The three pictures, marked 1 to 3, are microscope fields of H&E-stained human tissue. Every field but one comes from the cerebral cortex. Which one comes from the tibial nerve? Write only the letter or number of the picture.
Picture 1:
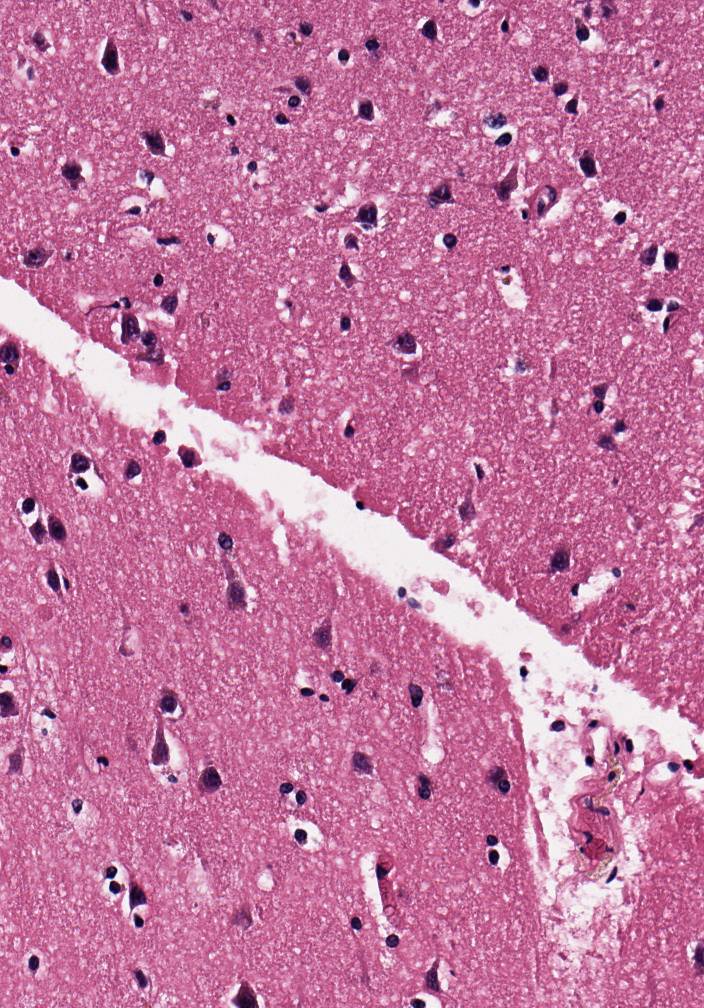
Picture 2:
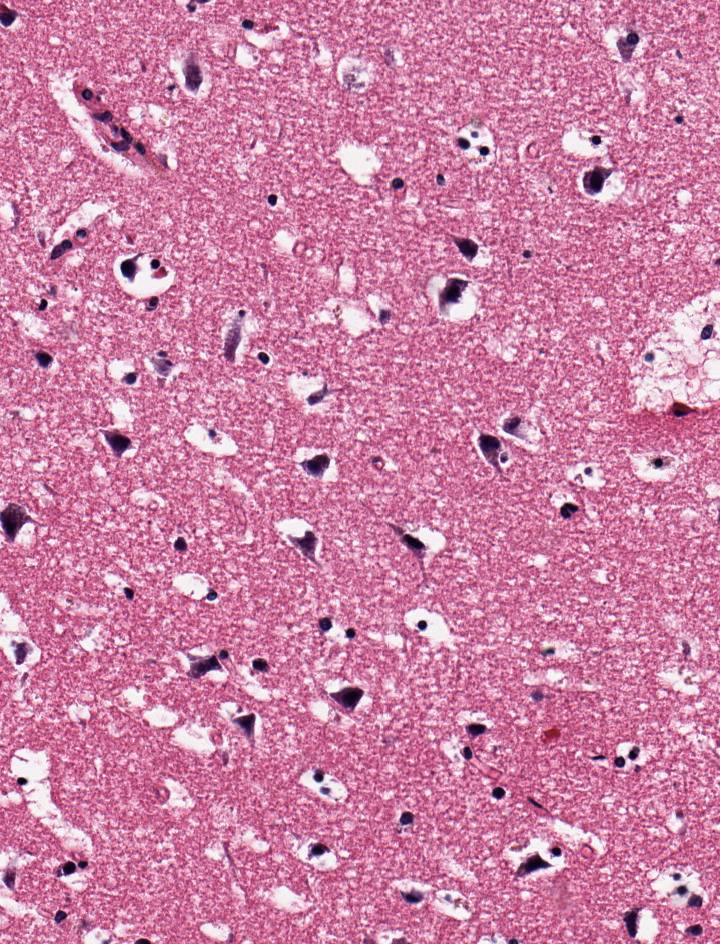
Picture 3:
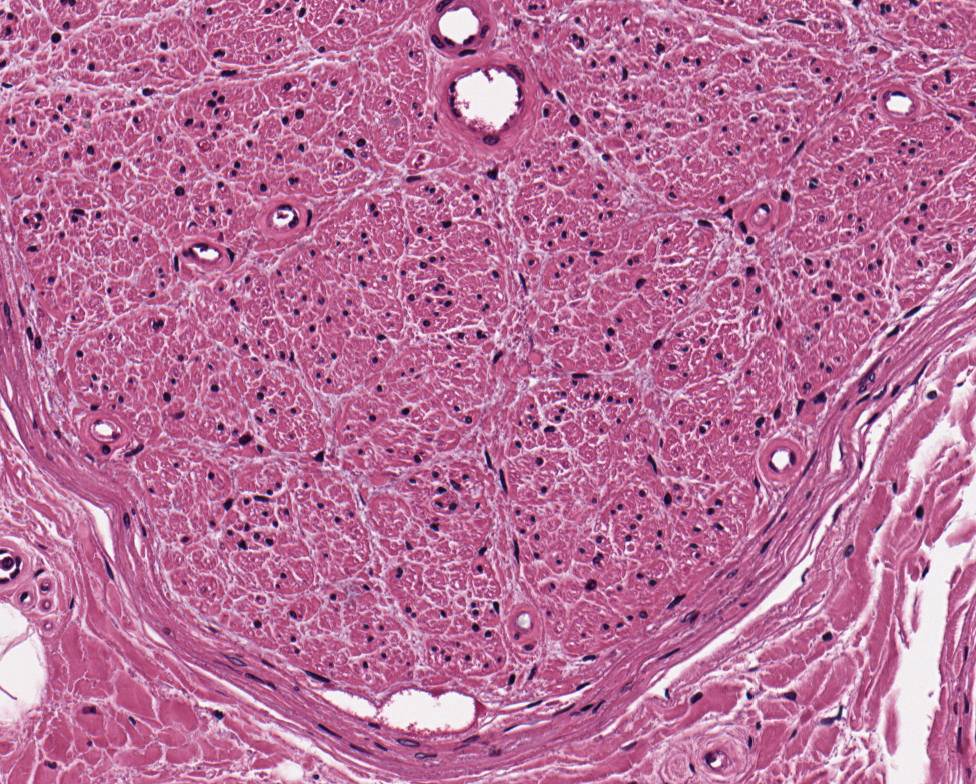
3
